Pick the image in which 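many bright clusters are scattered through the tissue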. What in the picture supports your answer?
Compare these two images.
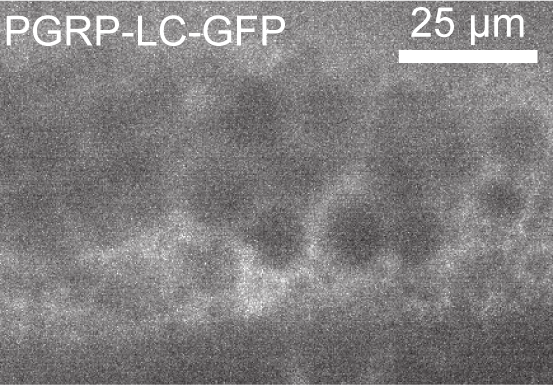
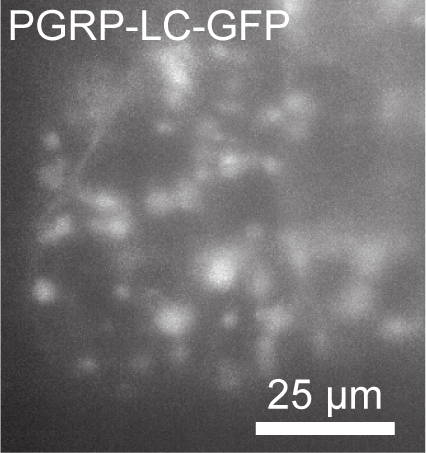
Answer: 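First image: diffuse grey signal with dark round areas and hardly any bright spots. Second image: numerous small bright spots scattered over the field. That points to this answer: the second image.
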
